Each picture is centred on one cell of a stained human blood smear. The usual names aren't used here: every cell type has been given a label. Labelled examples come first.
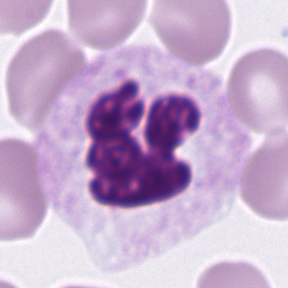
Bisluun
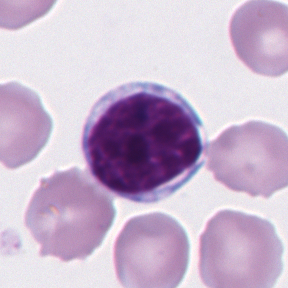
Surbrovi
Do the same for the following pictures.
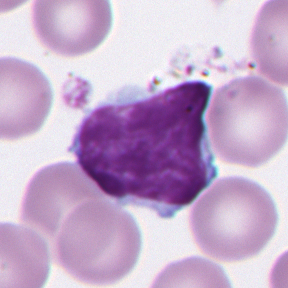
Surbrovi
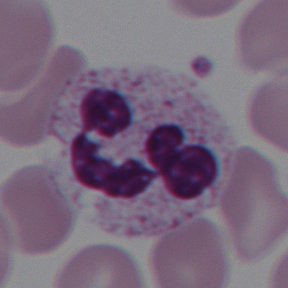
Bisluun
